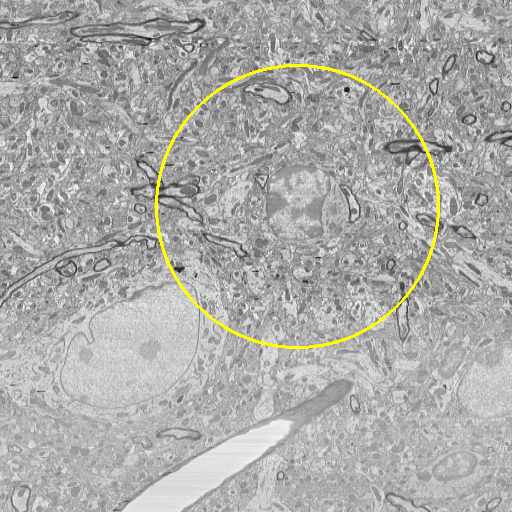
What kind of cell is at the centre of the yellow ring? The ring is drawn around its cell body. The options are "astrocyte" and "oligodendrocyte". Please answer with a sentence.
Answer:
The yellow ring marks the cell body of an oligodendrocyte.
